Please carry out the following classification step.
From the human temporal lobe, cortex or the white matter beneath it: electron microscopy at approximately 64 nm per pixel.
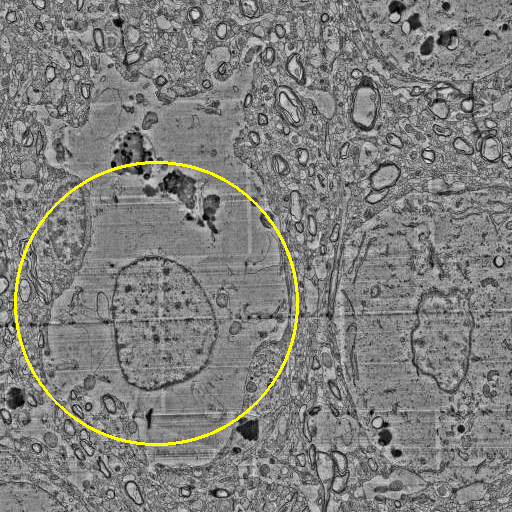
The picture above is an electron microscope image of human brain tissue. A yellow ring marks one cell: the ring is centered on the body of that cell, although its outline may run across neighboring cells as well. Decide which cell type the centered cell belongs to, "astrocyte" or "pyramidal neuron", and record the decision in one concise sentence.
The cell centered in the yellow ring is an astrocyte.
